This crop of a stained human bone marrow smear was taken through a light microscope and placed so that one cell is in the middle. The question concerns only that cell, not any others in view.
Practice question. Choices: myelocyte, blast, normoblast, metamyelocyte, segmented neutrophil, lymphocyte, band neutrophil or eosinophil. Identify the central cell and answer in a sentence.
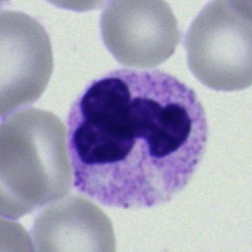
In short, the cell at the center is a segmented neutrophil.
